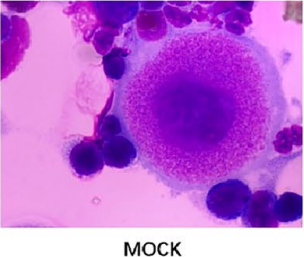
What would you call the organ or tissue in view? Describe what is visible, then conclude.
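Bone marrow smear. A mixed population of cells of different sizes is spread out in a thin film. One very large cell with a big purple nucleus and wide granular cytoplasm lies among many small round cells with dark nuclei.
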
